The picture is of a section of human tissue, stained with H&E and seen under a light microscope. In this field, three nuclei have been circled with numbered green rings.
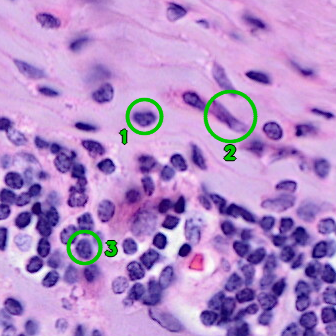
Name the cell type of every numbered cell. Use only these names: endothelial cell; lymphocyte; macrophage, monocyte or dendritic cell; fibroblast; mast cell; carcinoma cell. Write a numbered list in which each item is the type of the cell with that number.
1. lymphocyte
2. fibroblast
3. lymphocyte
